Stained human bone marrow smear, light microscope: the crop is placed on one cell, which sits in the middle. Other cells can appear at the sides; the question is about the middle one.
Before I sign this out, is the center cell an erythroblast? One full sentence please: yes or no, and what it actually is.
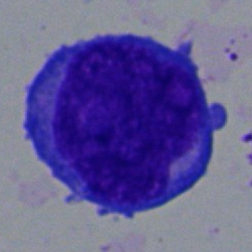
No, the centre of the crop contains a blast rather than an erythroblast.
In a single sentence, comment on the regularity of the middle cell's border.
The border of the cell is irregular, being either ragged or extended into projections.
